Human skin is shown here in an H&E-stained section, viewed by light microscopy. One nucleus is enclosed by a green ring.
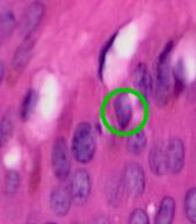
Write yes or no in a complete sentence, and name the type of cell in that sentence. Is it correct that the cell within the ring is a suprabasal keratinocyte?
No, the correct identification of the cell within the ring is a basal keratinocyte, not a suprabasal keratinocyte.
